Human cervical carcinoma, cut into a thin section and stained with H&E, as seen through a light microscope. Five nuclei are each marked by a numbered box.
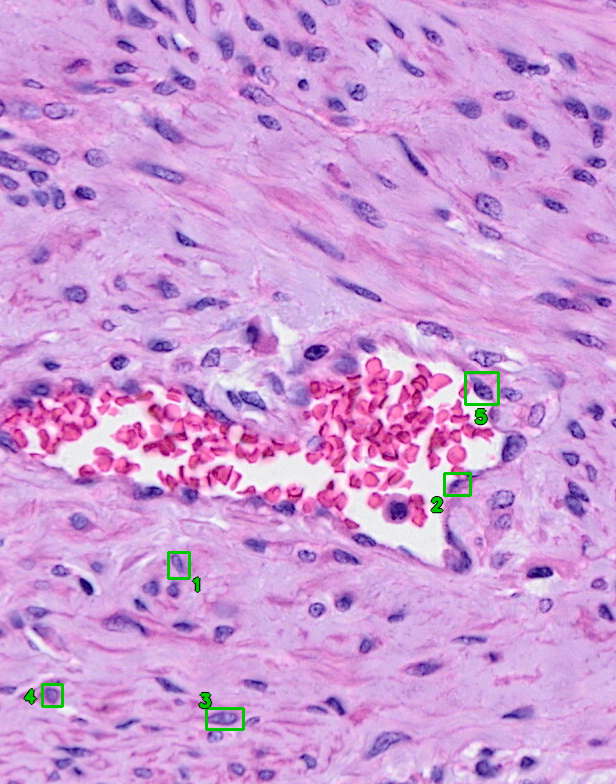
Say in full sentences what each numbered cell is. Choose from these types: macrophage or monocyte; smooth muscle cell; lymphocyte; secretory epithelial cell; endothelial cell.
Cell 1 is a smooth muscle cell, cell 2 is an endothelial cell, cell 3 is a smooth muscle cell, cell 4 is a smooth muscle cell and cell 5 is an endothelial cell.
